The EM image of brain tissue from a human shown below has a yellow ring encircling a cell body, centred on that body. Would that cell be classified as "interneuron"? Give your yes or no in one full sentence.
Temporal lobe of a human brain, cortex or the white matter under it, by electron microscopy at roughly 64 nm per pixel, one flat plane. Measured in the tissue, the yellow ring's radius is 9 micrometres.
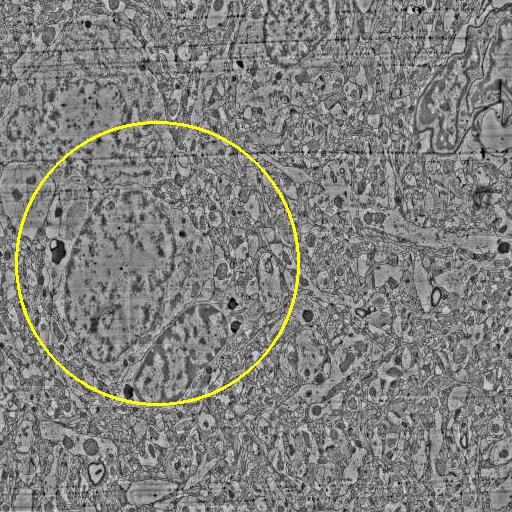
Yes, the cell at the centre of the ring in the picture falls in that class.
